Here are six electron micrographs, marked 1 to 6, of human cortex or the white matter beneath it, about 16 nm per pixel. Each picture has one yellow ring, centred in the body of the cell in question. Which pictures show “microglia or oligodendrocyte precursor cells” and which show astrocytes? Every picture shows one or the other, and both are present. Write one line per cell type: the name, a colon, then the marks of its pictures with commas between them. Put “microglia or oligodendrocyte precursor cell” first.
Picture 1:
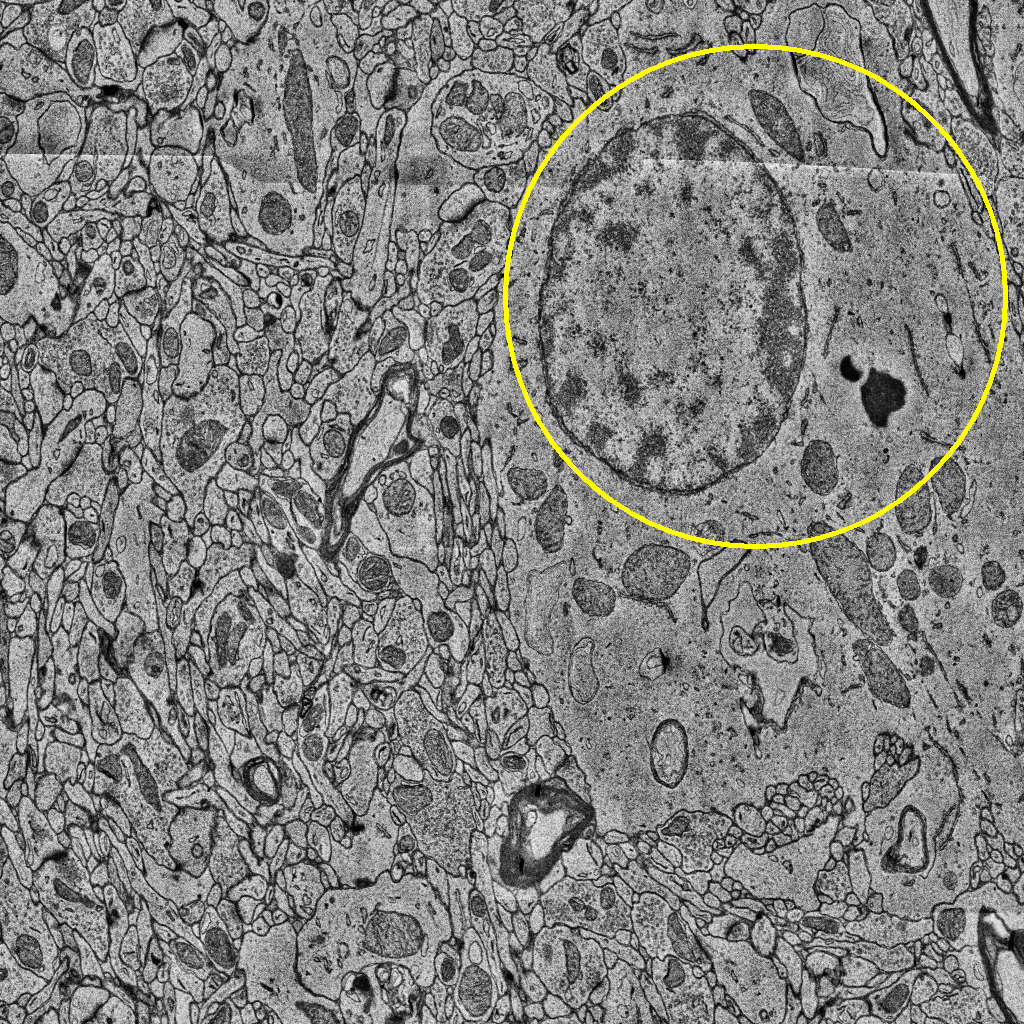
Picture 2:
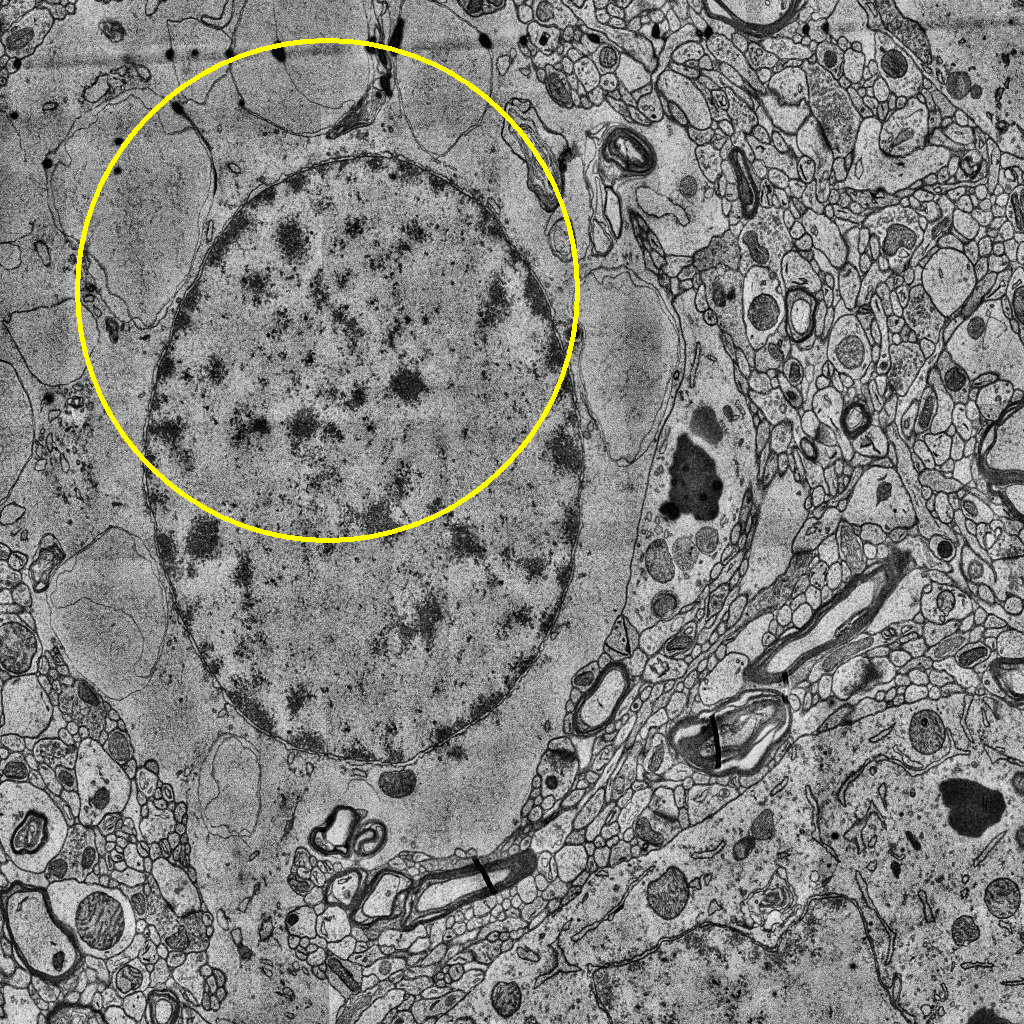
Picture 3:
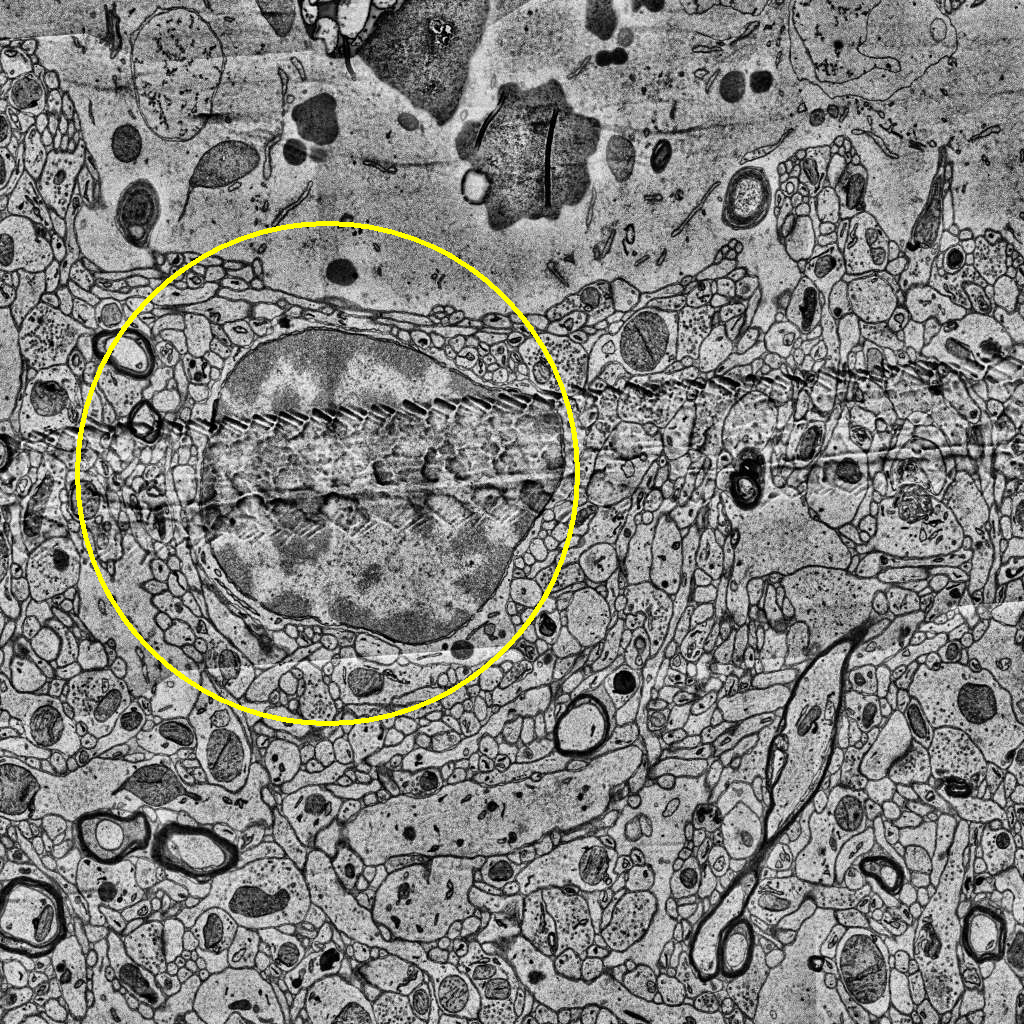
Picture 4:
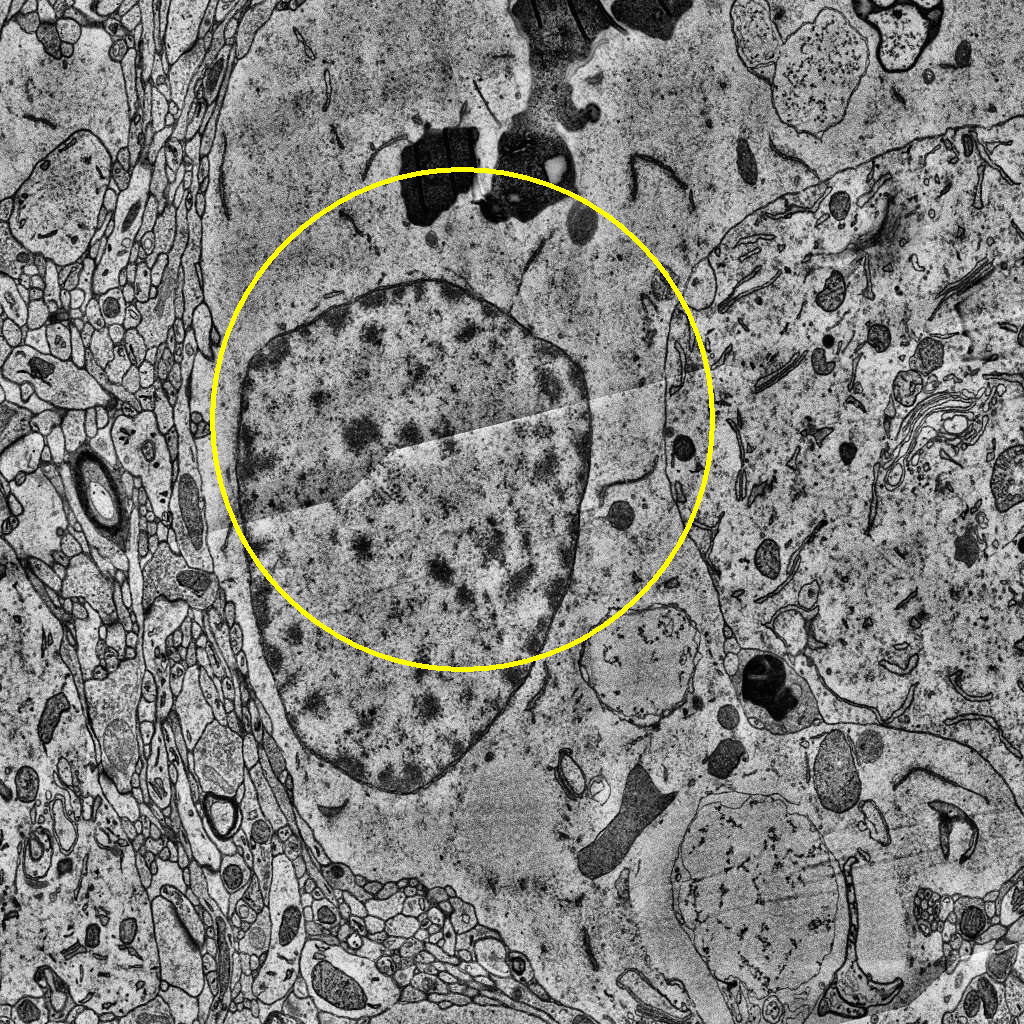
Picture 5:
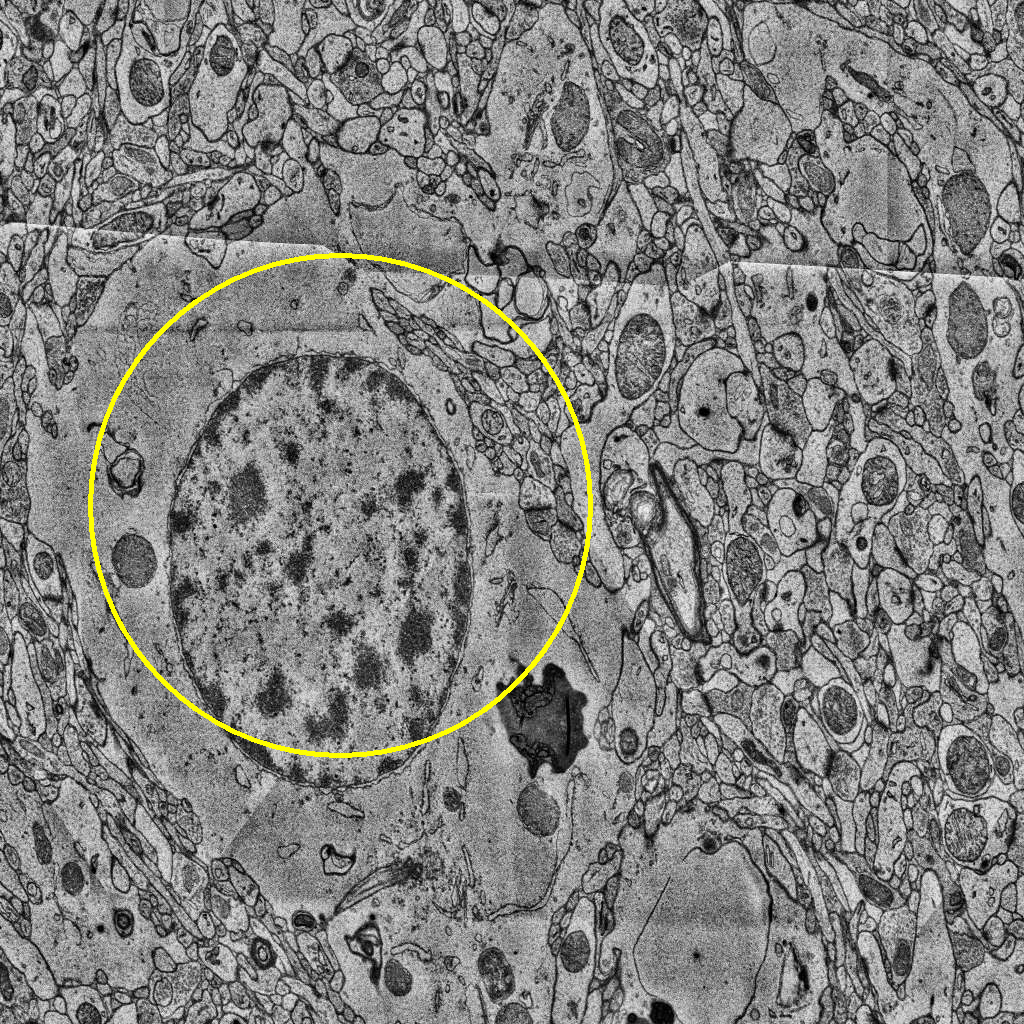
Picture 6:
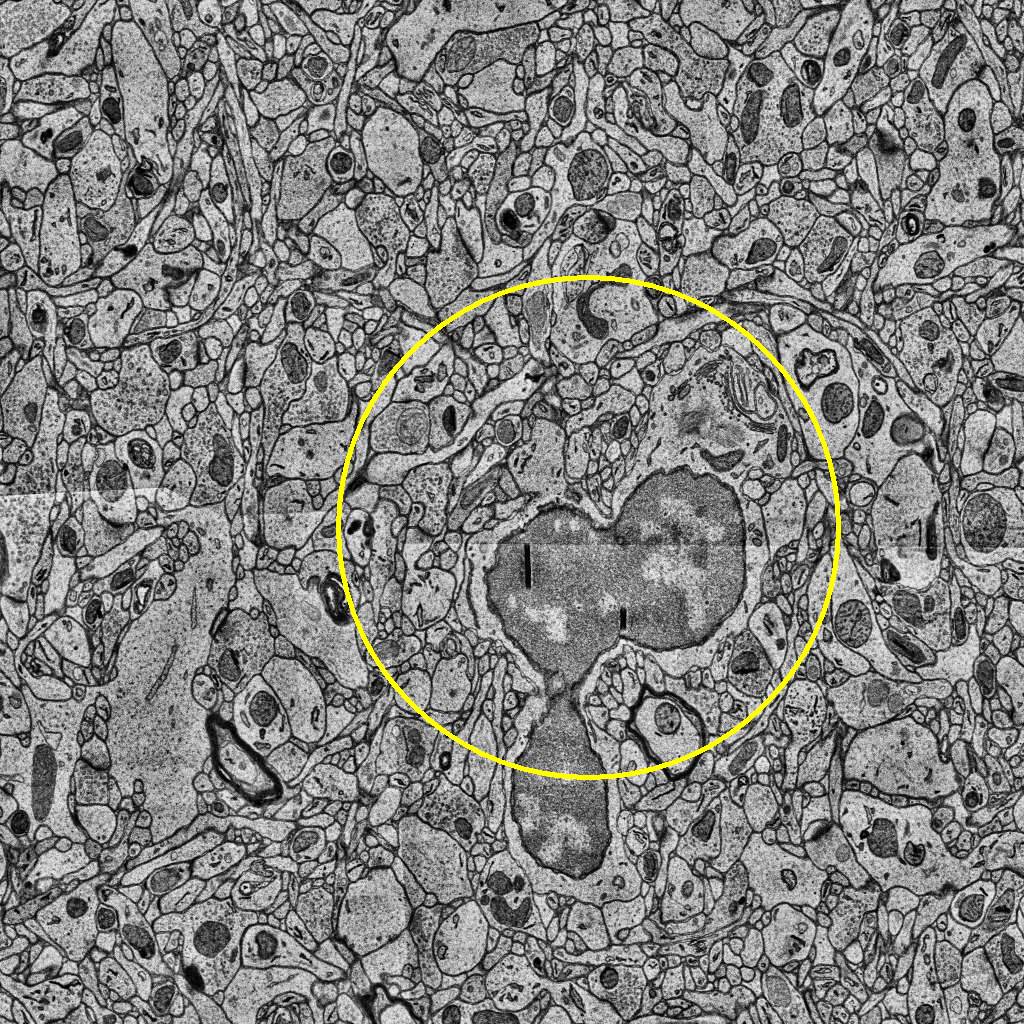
microglia or oligodendrocyte precursor cell: 3, 6
astrocyte: 1, 2, 4, 5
